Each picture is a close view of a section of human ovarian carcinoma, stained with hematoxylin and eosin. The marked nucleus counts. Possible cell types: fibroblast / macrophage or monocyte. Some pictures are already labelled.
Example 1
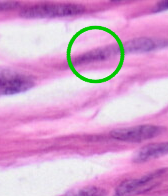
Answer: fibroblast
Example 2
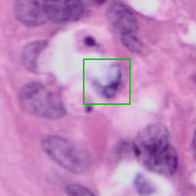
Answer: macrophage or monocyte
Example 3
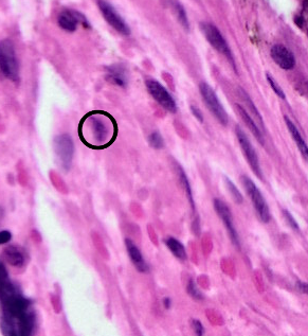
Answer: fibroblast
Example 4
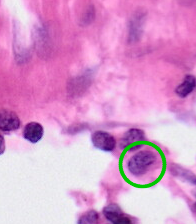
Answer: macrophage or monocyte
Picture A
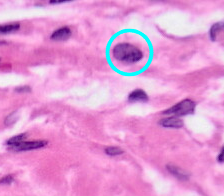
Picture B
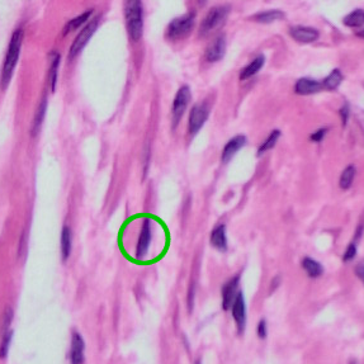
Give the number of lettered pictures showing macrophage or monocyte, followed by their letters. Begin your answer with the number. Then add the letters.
Count: 1 (A)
